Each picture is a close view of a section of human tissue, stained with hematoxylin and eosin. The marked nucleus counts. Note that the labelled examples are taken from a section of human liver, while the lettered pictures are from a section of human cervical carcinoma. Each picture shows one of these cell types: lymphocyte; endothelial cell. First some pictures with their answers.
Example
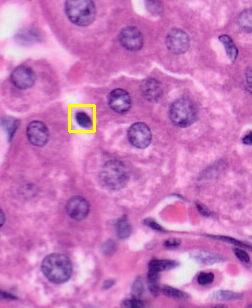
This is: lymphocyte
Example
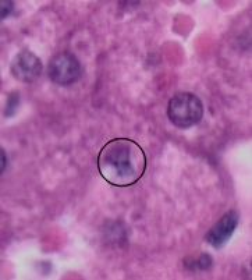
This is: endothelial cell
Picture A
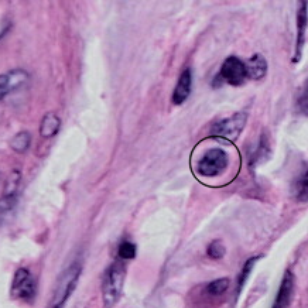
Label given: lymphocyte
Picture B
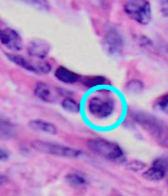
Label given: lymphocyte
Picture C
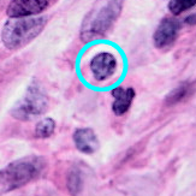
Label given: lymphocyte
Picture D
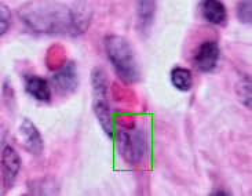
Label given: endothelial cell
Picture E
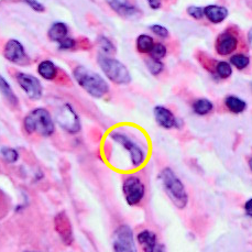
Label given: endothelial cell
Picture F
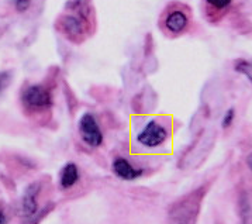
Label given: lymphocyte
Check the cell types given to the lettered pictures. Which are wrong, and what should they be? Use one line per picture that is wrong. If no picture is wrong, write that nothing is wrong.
No label is wrong.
